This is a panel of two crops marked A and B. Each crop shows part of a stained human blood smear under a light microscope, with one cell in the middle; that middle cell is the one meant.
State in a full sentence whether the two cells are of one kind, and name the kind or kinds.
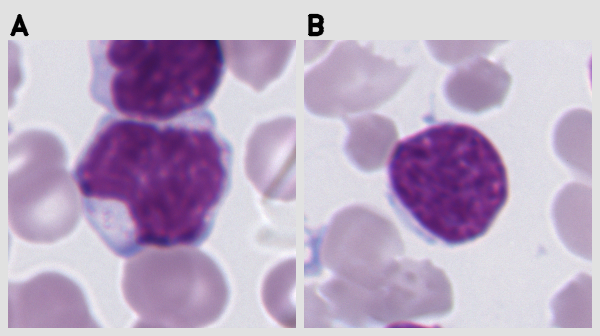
No, crop A presents a large granular lymphocyte; crop B presents a myeloblast.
